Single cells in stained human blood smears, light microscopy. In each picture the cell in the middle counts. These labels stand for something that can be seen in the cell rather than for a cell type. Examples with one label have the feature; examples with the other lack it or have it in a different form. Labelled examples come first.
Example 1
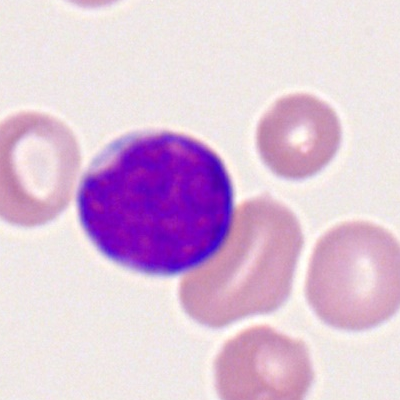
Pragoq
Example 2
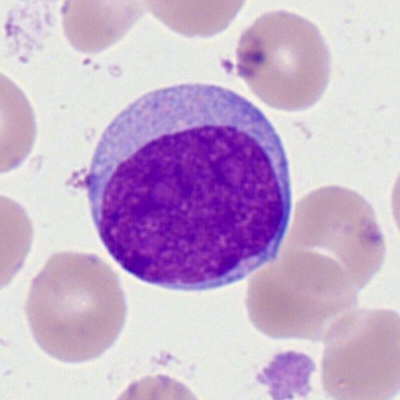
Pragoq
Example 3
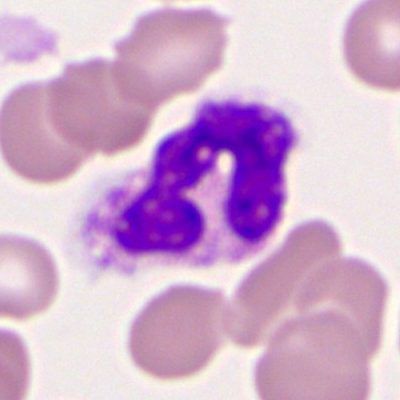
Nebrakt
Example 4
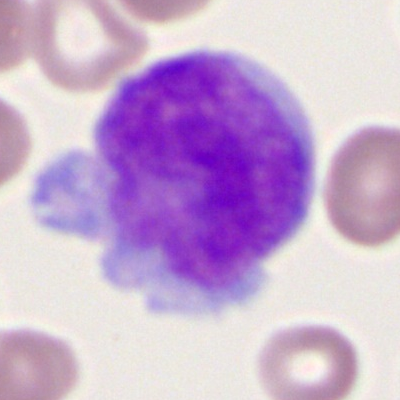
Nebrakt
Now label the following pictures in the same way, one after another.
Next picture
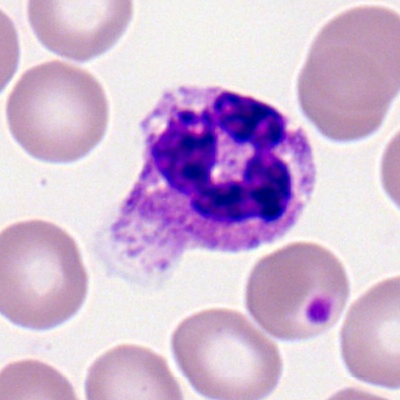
Nebrakt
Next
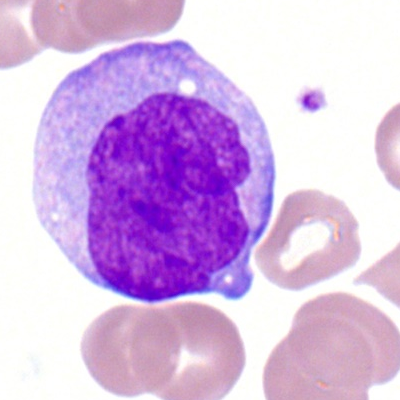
Nebrakt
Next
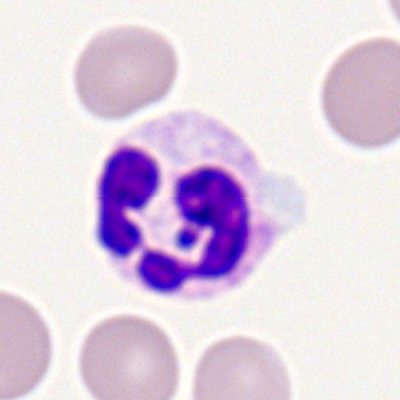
Nebrakt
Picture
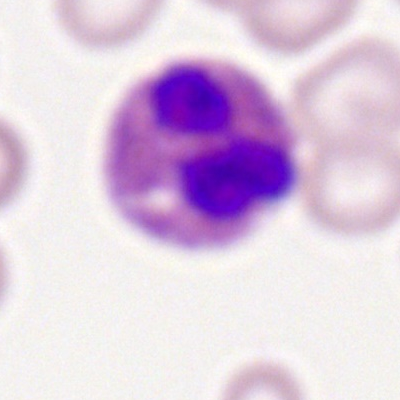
Pragoq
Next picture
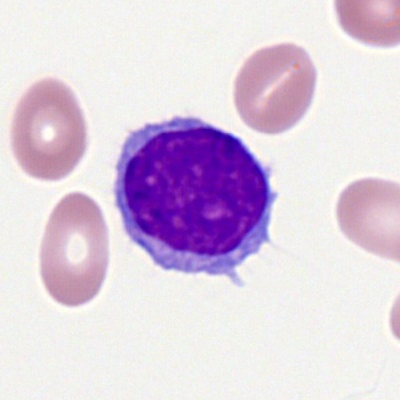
Nebrakt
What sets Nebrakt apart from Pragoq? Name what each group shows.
Seen in Nebrakt: ragged outline or projections; seen in Pragoq: smooth outline.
